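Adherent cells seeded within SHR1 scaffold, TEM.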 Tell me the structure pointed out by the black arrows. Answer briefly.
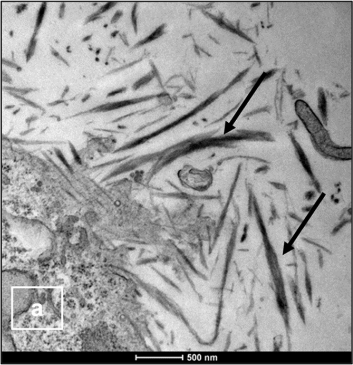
collagen microfibrils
